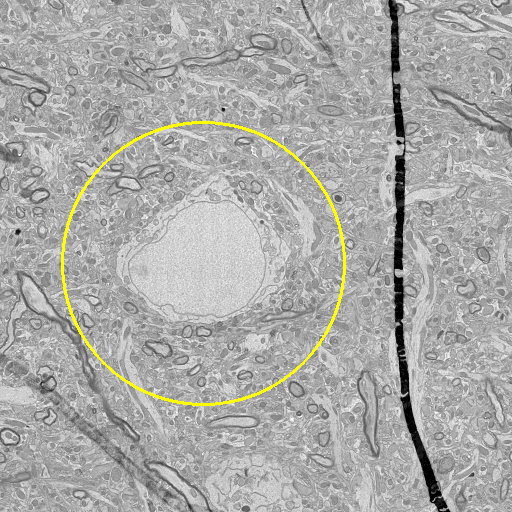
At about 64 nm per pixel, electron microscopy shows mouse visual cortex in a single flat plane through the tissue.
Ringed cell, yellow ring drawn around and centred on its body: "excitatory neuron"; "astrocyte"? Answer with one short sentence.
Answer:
This ringed cell is an excitatory neuron.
